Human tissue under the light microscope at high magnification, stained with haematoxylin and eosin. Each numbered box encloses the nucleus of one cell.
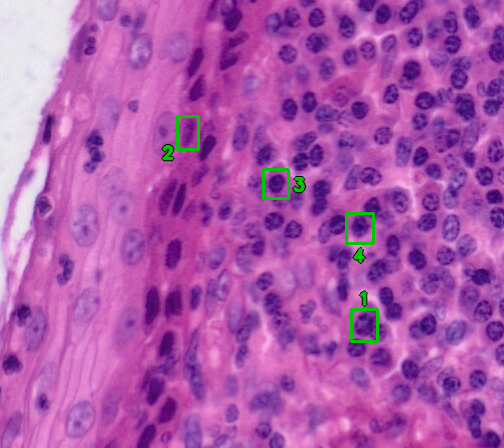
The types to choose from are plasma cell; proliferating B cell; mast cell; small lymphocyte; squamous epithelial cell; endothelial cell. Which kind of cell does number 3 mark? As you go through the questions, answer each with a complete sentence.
The correct label for cell 3 is a plasma cell.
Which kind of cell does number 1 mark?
Classified as a plasma cell is the cell with the number 1.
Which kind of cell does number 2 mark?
The one numbered 2 among the marked cells is a squamous epithelial cell.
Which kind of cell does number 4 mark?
Cell 4 in the field is a plasma cell.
